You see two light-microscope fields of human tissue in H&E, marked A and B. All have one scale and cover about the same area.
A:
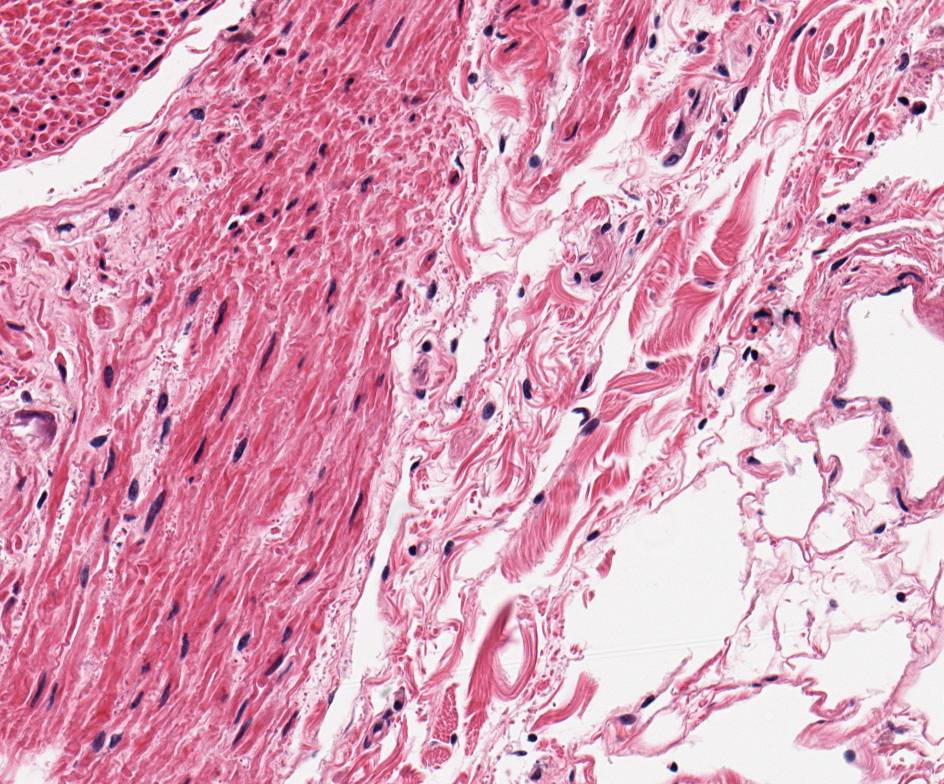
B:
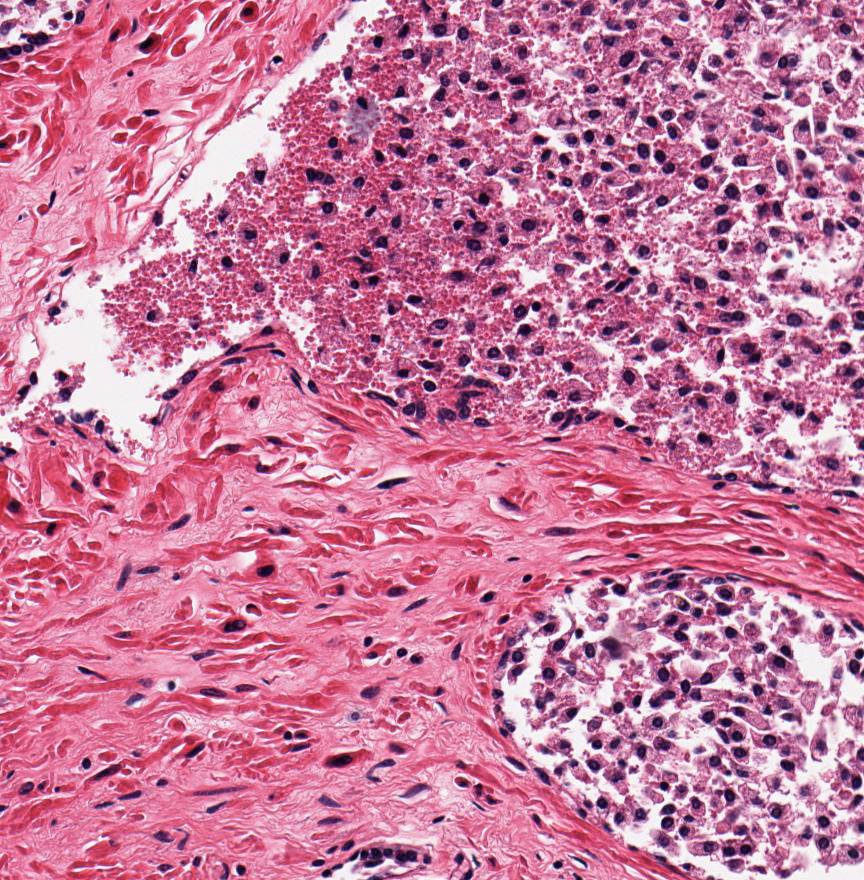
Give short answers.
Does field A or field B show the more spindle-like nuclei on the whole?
A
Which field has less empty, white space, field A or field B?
B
